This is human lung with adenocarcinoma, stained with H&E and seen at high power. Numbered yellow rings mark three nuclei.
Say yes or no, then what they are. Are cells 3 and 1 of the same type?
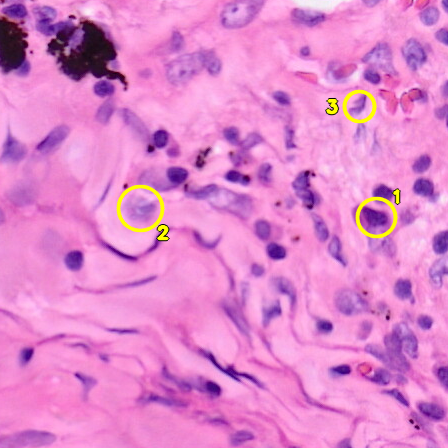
No, cell 3 is a fibroblast and cell 1 is a plasma cell.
